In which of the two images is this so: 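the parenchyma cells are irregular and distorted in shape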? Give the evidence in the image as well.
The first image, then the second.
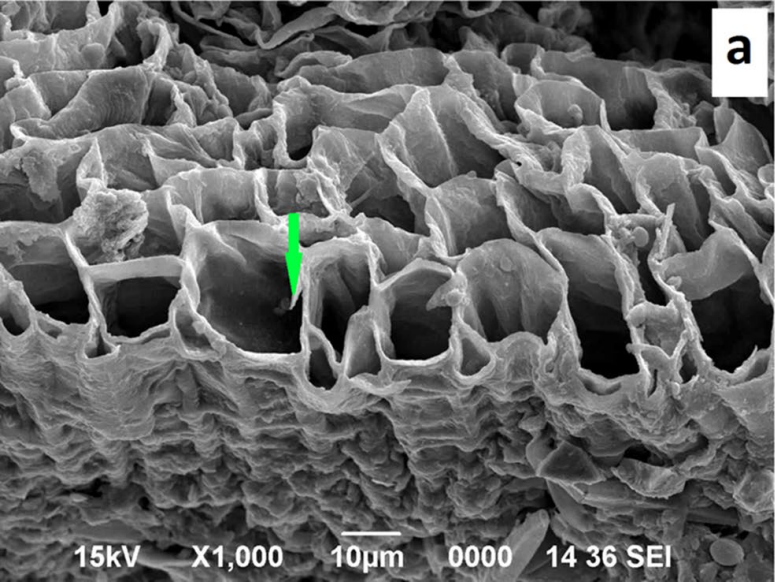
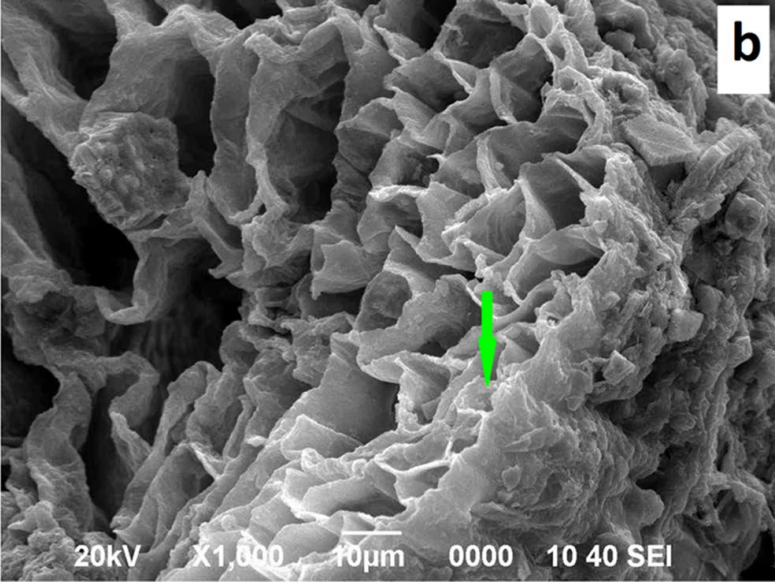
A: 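Second image: cell walls are crumpled and folded, with no regular pattern of open cells. First image: cells form a regular honeycomb of rounded to polygonal compartments with open lumens. So: the second image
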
